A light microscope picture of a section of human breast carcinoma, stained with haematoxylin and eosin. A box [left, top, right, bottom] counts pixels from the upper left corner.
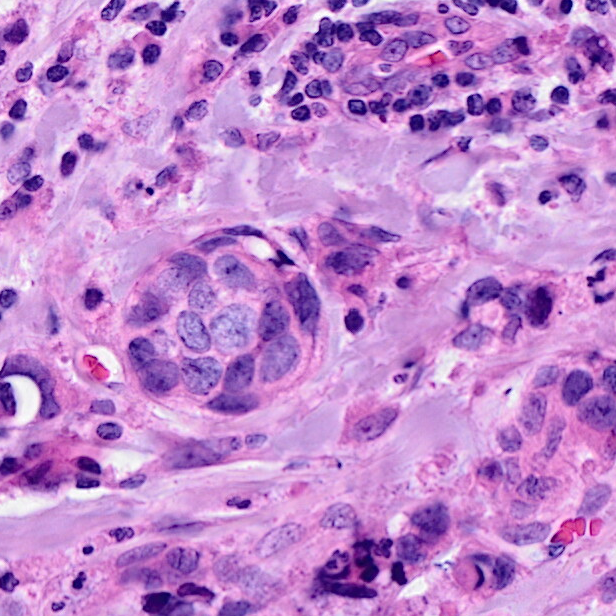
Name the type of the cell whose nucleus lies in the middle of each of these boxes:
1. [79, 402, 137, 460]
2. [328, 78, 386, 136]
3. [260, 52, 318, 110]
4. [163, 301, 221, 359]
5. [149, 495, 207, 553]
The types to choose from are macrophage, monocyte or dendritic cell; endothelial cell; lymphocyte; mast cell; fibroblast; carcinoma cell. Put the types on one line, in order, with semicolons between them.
mast cell; lymphocyte; lymphocyte; carcinoma cell; fibroblast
